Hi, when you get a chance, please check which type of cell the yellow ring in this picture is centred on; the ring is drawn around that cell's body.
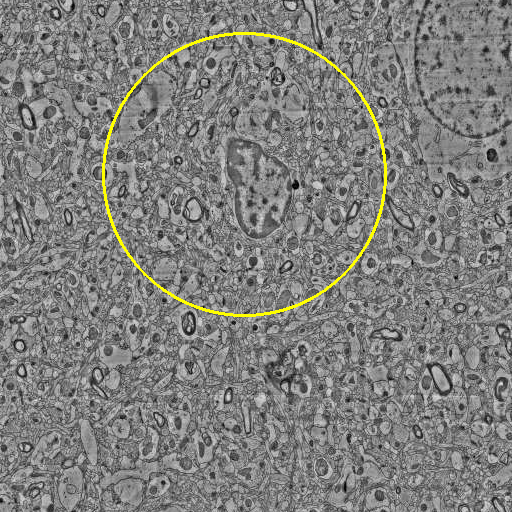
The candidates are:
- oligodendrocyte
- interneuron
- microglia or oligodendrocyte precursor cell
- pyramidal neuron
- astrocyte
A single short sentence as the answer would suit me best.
The ring is drawn around the body of a microglial cell or oligodendrocyte precursor cell.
